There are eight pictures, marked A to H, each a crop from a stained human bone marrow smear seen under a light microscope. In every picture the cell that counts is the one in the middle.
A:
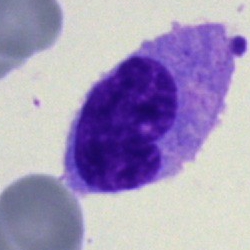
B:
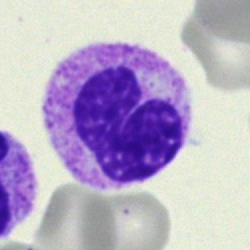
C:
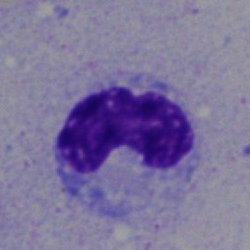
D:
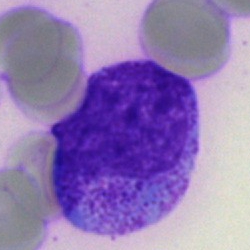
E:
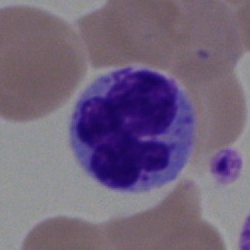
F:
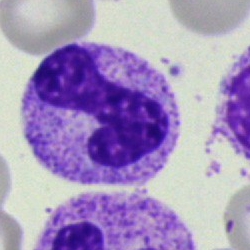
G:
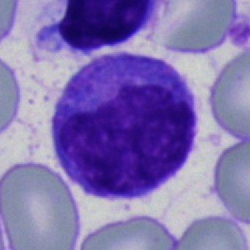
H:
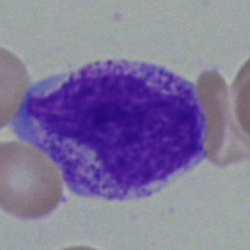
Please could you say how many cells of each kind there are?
monocyte: 3
band neutrophil: 3
myelocyte: 2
